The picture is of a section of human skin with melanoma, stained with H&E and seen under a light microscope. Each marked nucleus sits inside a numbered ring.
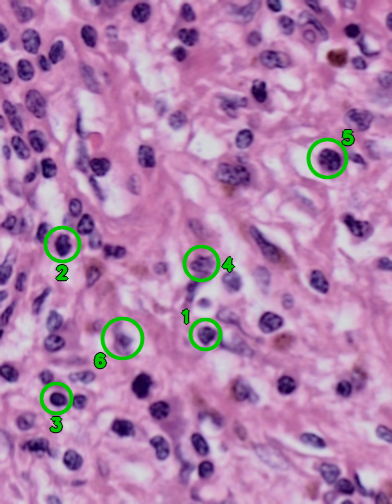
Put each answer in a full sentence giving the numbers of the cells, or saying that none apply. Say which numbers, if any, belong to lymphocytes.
The cells numbered 1, 2 and 3 are of one kind: lymphocytes.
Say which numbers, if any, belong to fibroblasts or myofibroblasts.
Only the nucleus marked 6 is that of a fibroblast or myofibroblast.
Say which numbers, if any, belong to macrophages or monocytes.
Whereas cell 4 is a macrophage or monocyte, the other numbered cells are not.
